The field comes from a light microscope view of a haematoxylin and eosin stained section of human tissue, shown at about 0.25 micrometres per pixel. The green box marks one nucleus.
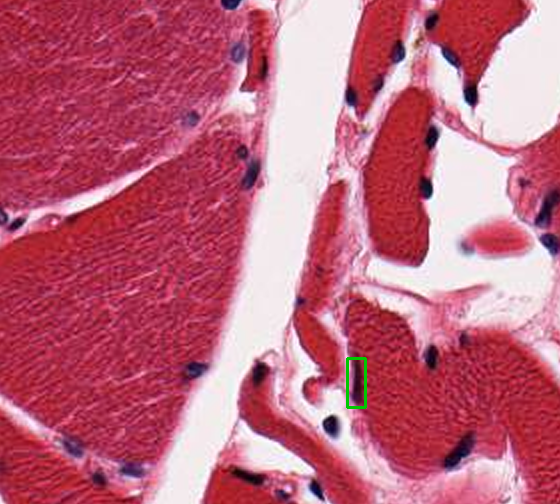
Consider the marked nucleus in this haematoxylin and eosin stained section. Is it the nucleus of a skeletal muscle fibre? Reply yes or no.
yes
